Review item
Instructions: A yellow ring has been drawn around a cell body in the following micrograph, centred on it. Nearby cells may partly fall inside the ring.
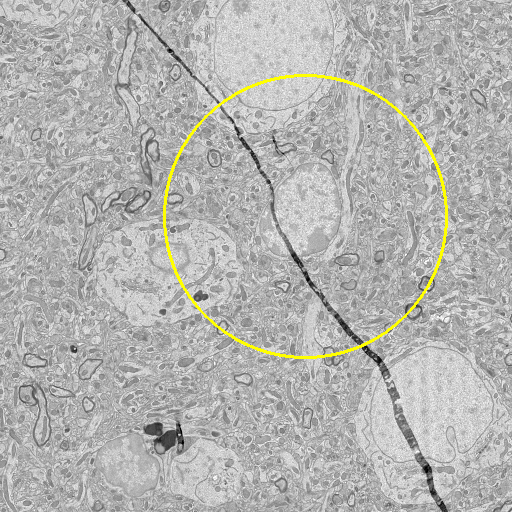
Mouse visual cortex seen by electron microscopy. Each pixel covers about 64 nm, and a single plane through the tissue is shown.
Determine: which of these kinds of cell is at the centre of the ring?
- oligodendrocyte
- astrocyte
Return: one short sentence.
The cell body in the middle of the ring is that of an oligodendrocyte.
